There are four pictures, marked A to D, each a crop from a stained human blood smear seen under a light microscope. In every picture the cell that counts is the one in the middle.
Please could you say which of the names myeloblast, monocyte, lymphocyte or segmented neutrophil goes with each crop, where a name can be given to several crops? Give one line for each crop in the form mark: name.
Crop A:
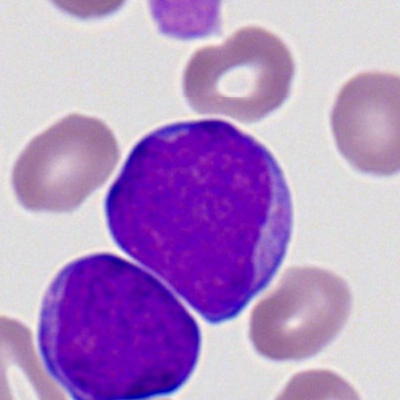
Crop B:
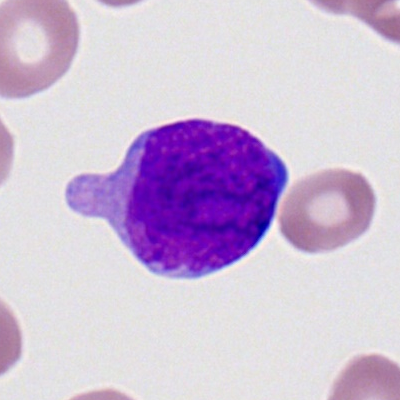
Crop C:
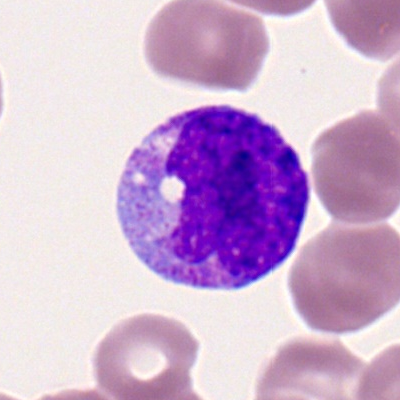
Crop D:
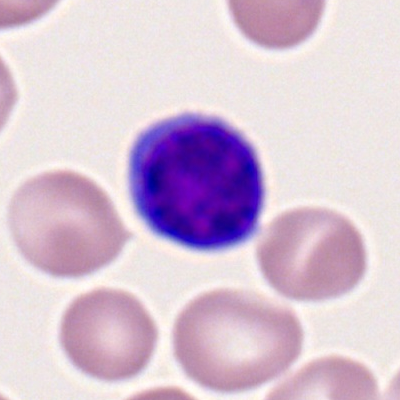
A: myeloblast
B: myeloblast
C: monocyte
D: lymphocyte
